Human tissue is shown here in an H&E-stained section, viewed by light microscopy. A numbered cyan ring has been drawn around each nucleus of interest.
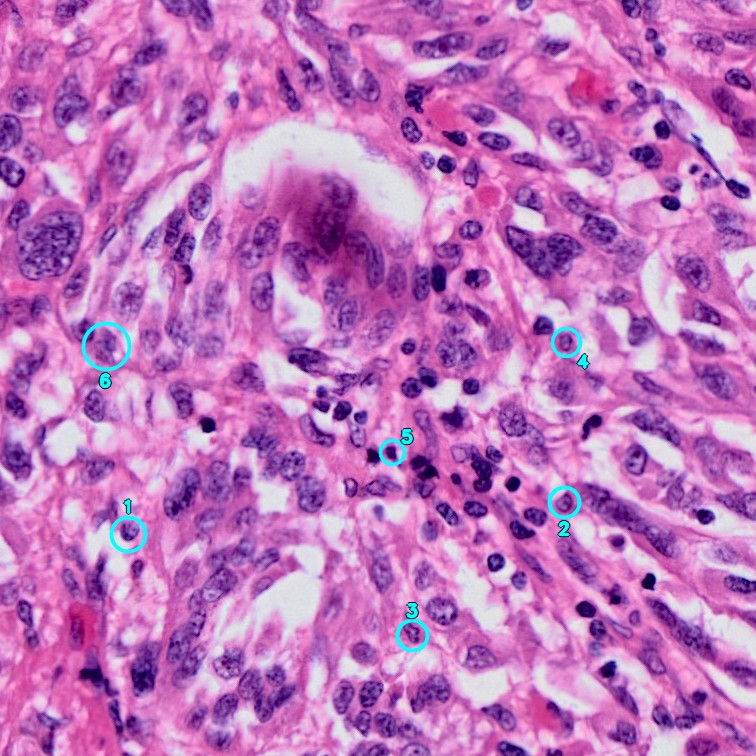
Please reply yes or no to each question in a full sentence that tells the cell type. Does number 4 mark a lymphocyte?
No, the marked cell 4 is not a lymphocyte, being instead a macrophage or monocyte.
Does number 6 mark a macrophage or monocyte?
No, the cell numbered 6 is a melanoma cell rather than a macrophage or monocyte.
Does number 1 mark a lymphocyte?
Yes, it is a lymphocyte that number 1 identifies.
